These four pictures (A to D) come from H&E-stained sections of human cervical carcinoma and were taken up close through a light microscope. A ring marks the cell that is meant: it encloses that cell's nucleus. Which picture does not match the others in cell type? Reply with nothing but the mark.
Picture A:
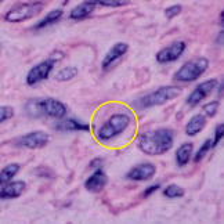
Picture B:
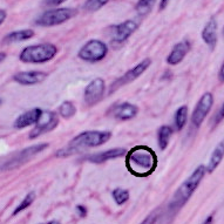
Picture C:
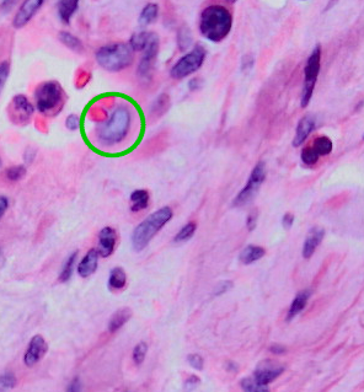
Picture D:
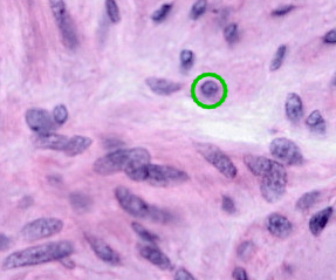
C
